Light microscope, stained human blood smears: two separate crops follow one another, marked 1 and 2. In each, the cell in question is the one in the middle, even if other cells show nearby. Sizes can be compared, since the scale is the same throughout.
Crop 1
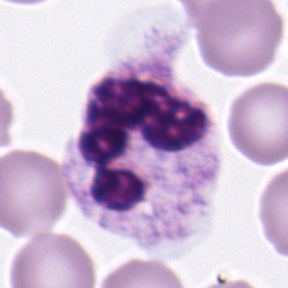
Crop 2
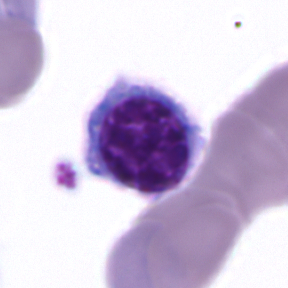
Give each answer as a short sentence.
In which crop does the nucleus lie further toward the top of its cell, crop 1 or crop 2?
The nucleus in crop 1 lies further toward the top of its cell.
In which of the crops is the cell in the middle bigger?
It is the cell in crop 1, about 2 times as large in area as the cell in crop 2.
